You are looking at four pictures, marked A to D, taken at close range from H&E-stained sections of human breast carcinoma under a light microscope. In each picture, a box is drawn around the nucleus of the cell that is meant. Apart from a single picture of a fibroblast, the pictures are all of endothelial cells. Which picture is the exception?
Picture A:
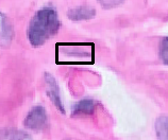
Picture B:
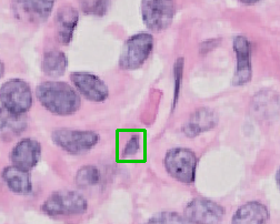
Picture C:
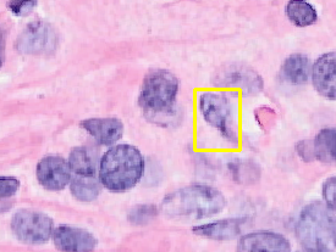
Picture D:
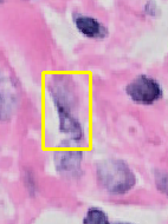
D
